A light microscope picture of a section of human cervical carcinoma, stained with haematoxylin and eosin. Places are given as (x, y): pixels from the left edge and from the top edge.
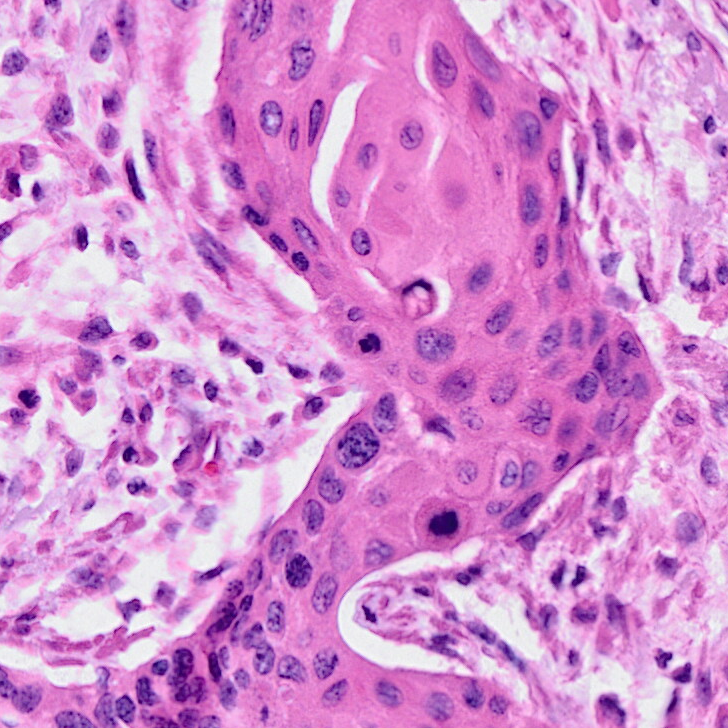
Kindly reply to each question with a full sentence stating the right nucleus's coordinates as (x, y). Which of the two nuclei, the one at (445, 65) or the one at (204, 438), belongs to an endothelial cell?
That would be the nucleus at (204, 438); it belongs to an endothelial cell.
